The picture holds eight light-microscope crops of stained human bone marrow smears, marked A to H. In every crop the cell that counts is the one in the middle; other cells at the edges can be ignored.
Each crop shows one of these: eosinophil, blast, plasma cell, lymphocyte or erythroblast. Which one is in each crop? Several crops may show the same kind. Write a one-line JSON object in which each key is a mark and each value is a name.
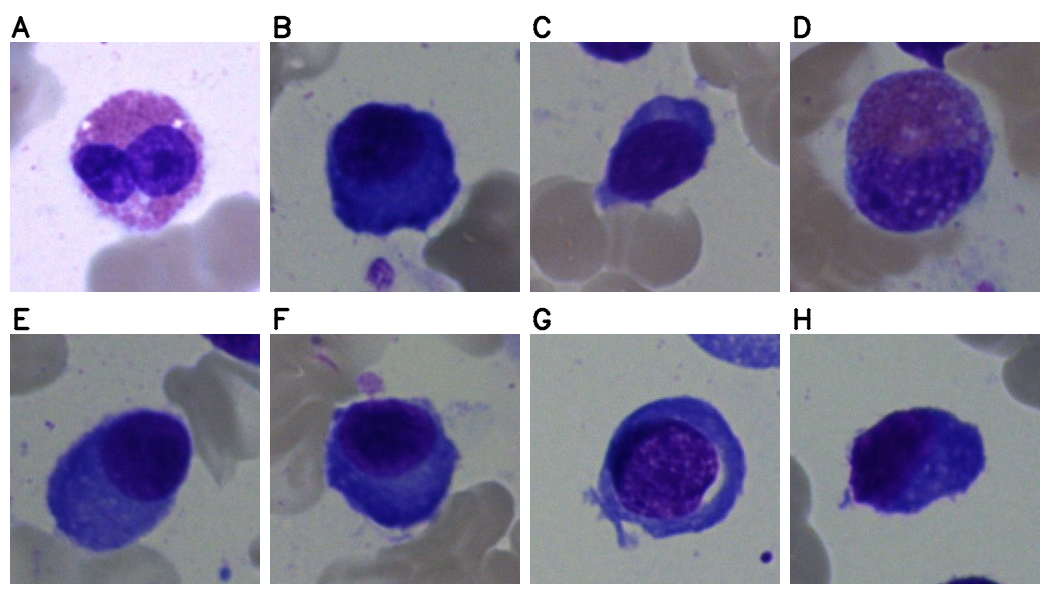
{"A": "eosinophil", "B": "plasma cell", "C": "plasma cell", "D": "eosinophil", "E": "plasma cell", "F": "plasma cell", "G": "plasma cell", "H": "plasma cell"}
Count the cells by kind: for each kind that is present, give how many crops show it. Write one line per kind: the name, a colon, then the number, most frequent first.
plasma cell: 6
eosinophil: 2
